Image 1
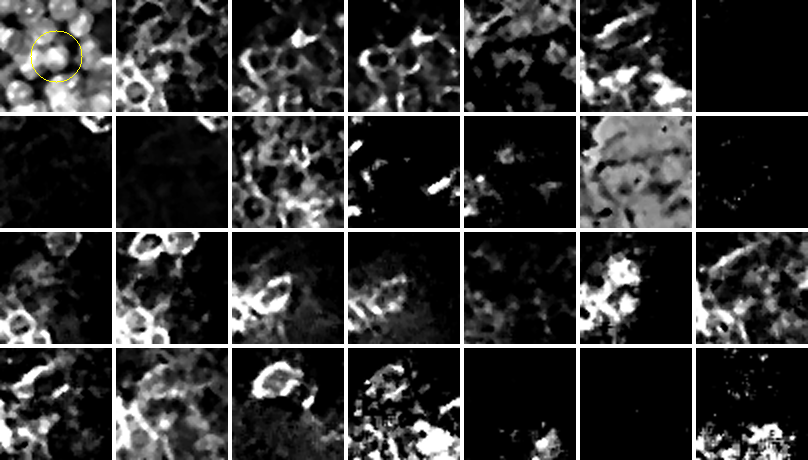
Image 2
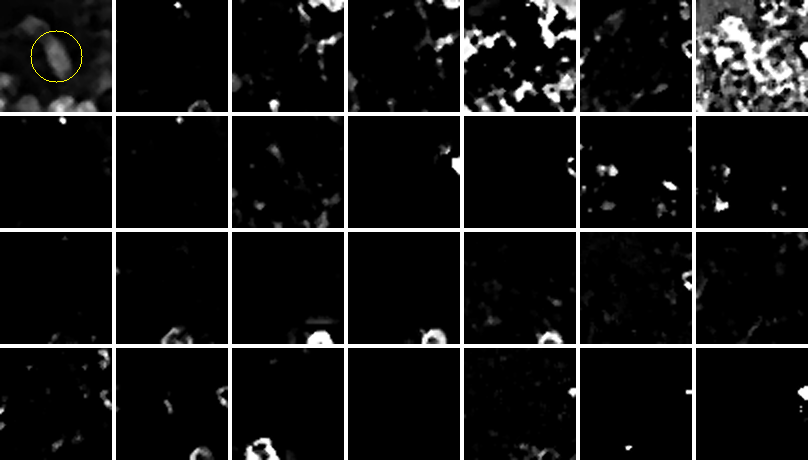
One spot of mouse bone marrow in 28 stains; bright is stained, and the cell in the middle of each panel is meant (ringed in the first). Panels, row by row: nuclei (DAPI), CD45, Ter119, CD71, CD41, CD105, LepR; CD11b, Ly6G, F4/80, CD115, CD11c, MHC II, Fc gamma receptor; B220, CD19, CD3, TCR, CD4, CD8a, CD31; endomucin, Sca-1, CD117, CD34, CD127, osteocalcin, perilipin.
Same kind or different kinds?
Different: the first is a capillary endothelial cell, the second a LepR-positive perivascular cell.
